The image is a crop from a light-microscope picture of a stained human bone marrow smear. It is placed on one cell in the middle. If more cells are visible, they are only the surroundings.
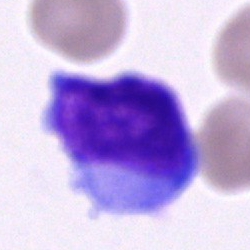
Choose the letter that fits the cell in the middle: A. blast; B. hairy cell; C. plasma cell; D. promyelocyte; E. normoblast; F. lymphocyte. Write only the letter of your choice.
A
